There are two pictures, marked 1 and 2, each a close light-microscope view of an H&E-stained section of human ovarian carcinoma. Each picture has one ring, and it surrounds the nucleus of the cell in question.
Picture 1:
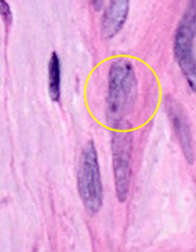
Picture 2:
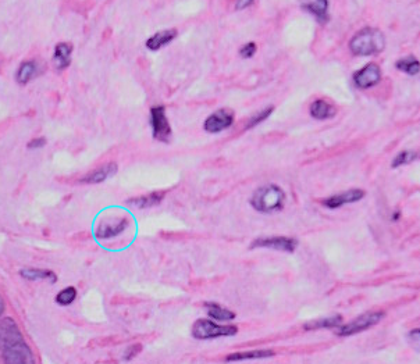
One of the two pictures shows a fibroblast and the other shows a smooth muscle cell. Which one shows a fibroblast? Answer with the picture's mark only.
2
